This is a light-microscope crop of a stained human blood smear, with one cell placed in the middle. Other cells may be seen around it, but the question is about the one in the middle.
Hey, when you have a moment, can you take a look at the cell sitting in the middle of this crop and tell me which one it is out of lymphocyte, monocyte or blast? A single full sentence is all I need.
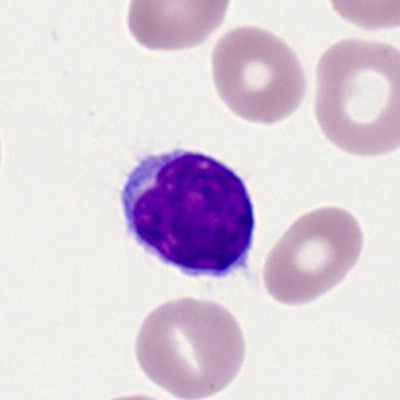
The middle of this crop is occupied by a lymphocyte.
